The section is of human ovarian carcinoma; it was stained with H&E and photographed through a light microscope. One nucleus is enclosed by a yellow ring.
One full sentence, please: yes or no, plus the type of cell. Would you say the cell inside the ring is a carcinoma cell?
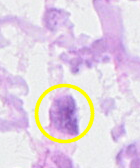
No, it is not a carcinoma cell but a fibroblast that the cell inside the ring represents.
